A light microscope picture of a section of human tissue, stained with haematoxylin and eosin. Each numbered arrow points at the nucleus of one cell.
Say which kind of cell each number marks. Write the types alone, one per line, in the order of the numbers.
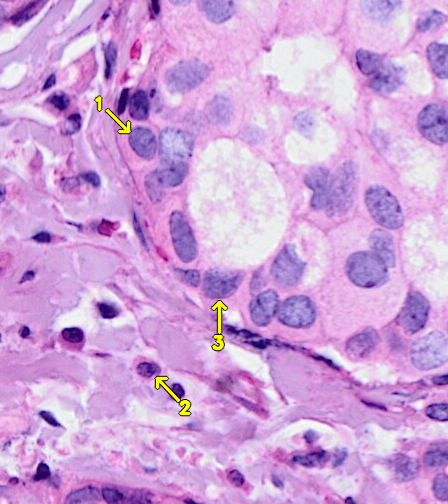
carcinoma cell
mast cell
carcinoma cell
